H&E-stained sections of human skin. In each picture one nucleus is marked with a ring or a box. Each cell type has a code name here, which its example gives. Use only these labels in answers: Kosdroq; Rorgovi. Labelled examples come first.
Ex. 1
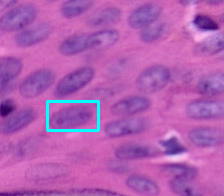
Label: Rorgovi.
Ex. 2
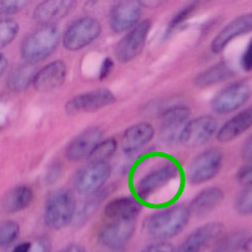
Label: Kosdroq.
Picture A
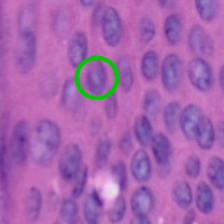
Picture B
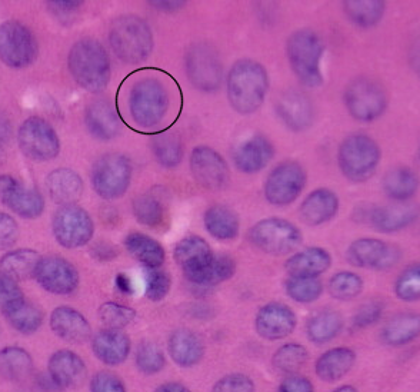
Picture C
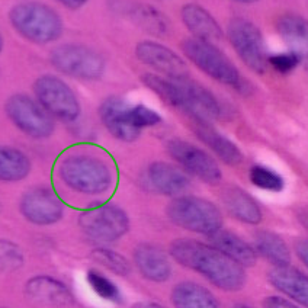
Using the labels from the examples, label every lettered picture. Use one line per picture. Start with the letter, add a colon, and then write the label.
A: Rorgovi.
B: Rorgovi.
C: Rorgovi.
